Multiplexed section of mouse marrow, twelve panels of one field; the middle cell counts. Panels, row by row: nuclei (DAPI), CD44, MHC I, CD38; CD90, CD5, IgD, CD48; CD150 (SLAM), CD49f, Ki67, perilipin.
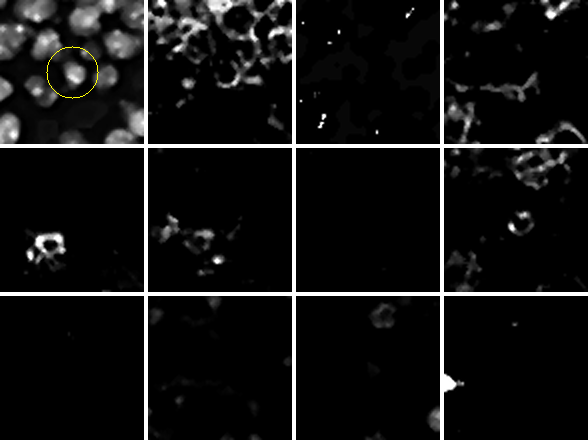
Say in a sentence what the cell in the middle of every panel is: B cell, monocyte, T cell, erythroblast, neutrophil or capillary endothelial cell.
This is a capillary endothelial cell.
